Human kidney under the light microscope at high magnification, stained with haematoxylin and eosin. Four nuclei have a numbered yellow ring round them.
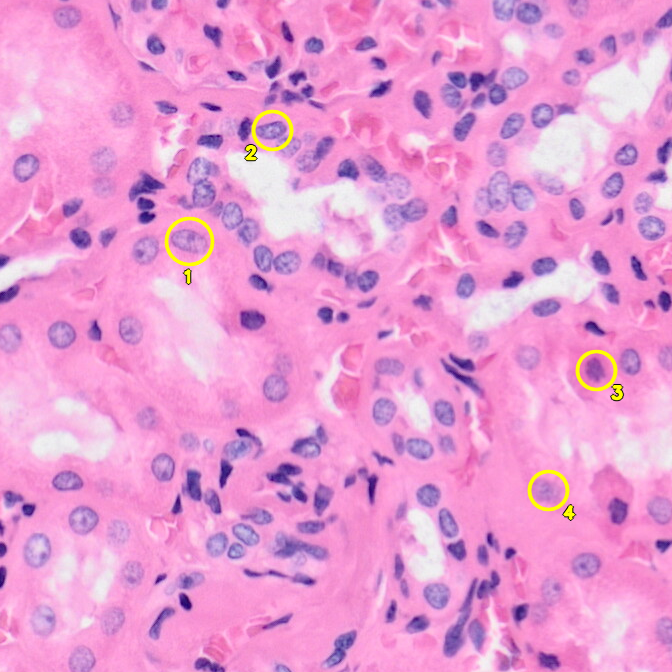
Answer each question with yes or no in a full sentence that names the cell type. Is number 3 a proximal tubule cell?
Yes, among the marked cells, the one with number 3 is a proximal tubule cell.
